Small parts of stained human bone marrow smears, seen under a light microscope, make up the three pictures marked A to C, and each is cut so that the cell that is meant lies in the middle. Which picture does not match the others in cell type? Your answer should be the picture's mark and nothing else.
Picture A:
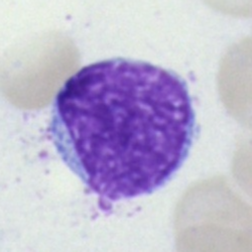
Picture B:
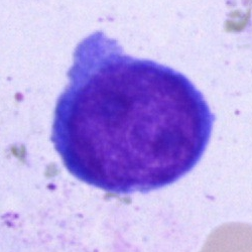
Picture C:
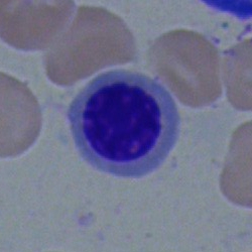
C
